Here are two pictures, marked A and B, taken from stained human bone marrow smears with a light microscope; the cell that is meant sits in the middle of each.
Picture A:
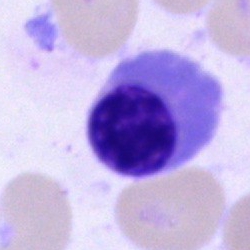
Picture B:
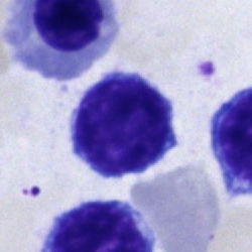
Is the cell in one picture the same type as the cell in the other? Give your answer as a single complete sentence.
No, they differ: the cell is an erythroblast in picture A and a lymphocyte in picture B.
